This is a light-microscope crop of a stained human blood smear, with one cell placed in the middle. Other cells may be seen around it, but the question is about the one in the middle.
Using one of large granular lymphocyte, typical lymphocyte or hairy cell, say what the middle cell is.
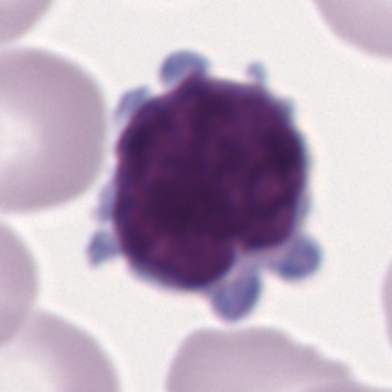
typical lymphocyte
